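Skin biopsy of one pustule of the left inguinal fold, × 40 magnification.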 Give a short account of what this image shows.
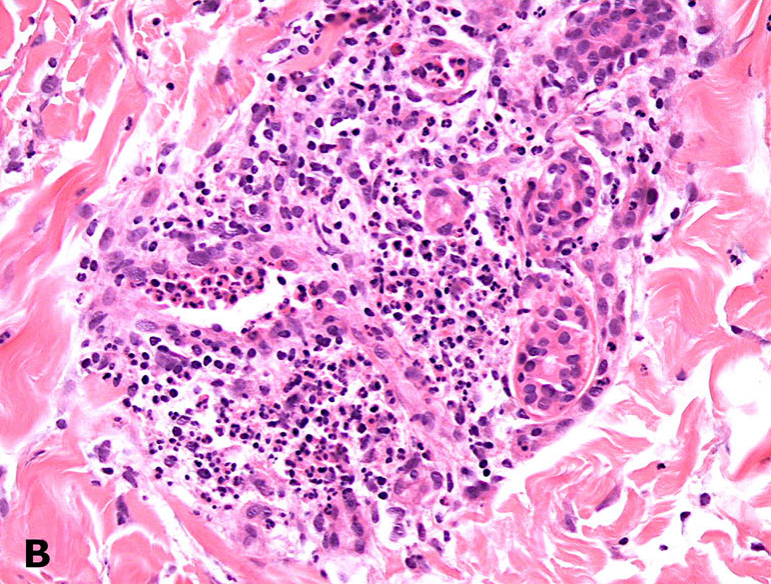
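Dermis with a dense mixed inflammatory infiltrate around small vessels, rich in neutrophils. Many of the infiltrating cells have small, dark, lobed or segmented nuclei with scant pale pink cytoplasm. Scattered among them are cells with rounder nuclei and elongated spindle-shaped nuclei. Small vessels with plump lining nuclei lie within the infiltrate, and some lumina hold blood cells. The infiltrate is bordered by thick, deeply pink collagen bundles.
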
